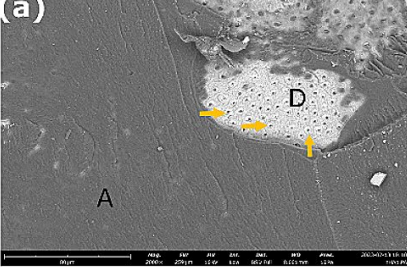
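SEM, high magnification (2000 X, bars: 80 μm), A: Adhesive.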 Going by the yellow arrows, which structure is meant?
Open dentin tubules.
